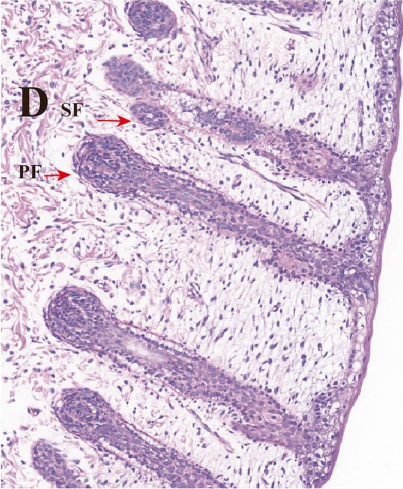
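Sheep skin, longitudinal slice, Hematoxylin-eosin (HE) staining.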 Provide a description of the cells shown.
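Along the right edge the epidermis forms a thin layer of cells with purple nuclei. From it, elongated follicles run obliquely down into the dermis as cords of densely packed, darkly nucleated epithelial cells, ending in rounded, swollen bulbs deep in the dermis. Longer, thicker follicles lie beside shorter, thinner ones that run close alongside them. The surrounding dermis is loose and pale pink with many scattered spindle-shaped nuclei, which are more crowded around the follicles.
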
